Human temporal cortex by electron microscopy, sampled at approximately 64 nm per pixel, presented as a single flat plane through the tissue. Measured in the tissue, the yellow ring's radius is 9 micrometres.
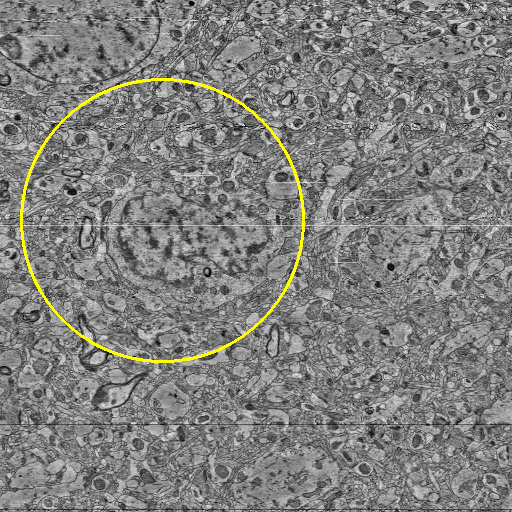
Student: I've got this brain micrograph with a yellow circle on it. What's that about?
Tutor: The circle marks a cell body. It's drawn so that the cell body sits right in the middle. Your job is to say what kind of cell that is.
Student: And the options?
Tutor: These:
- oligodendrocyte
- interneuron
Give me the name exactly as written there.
interneuron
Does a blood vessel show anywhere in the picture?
No, none shows.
